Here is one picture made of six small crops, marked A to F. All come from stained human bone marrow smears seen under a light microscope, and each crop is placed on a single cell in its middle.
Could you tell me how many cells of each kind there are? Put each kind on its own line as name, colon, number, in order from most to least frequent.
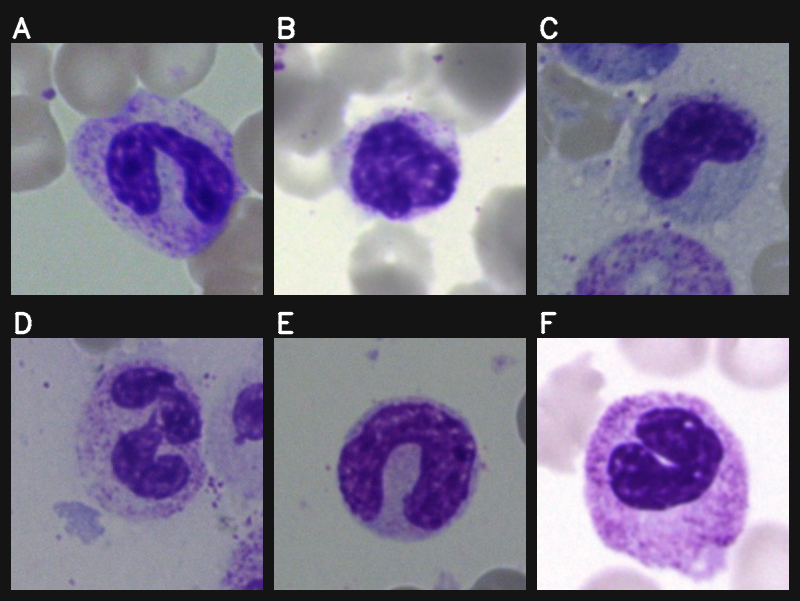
band neutrophil: 4
segmented neutrophil: 2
